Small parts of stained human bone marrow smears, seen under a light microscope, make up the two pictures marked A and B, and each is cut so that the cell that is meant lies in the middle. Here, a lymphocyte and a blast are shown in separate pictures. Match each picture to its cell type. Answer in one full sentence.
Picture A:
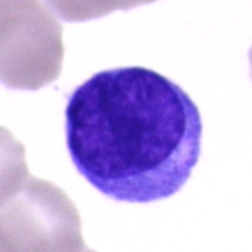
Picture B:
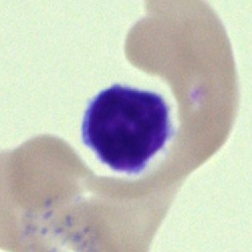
Picture A is of a blast, and picture B is of a lymphocyte.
